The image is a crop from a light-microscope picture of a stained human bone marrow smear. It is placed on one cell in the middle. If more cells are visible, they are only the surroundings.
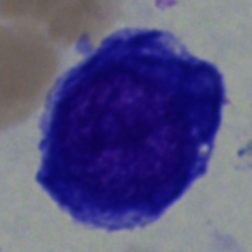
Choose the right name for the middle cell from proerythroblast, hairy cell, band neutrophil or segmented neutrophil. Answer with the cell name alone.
proerythroblast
